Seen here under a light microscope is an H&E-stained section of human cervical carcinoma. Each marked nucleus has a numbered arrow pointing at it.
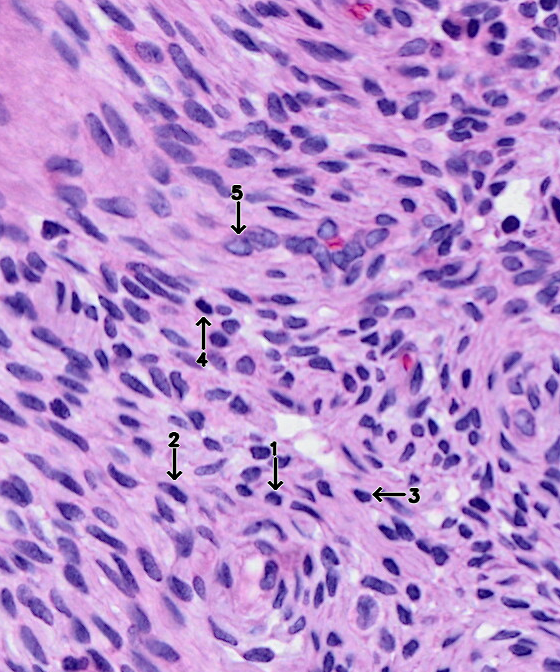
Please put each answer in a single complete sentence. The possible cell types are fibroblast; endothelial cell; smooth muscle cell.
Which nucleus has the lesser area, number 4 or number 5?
It is nucleus 4; nucleus 5 has about 2 times its area.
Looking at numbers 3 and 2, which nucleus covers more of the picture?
It is nucleus 2, which covers about 2 times the area of nucleus 3.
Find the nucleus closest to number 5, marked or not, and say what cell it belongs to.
The cell nearest to number 5 is an endothelial cell.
